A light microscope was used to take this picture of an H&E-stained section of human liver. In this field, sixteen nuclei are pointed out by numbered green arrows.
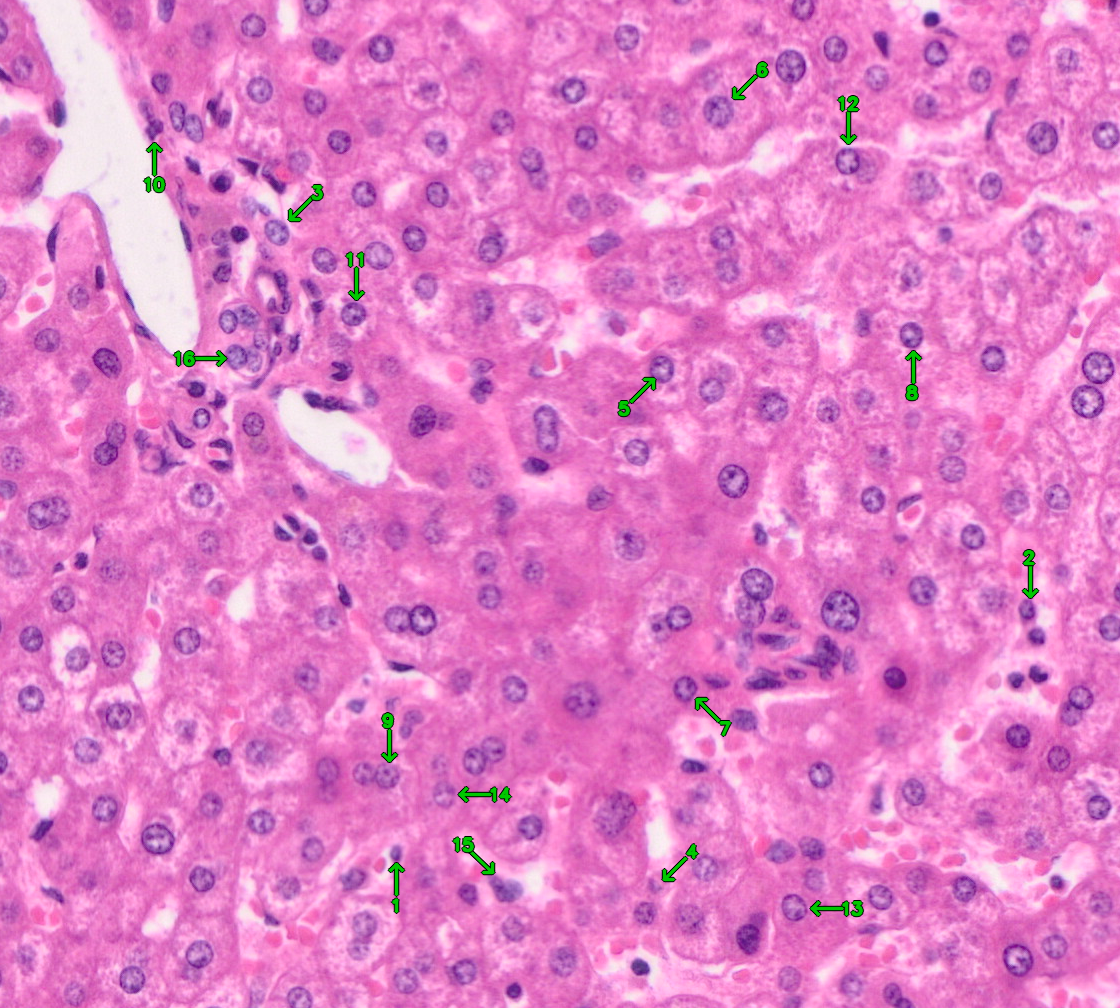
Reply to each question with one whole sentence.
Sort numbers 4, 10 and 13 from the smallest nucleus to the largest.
The order from the smallest nucleus to the largest is 4, 10, 13.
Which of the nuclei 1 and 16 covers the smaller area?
Nucleus 1 covers less area, with nucleus 16 about 2.5 times as large.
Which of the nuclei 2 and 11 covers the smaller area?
Number 2 is smaller, since number 11 takes up about 1.5 times as much area.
